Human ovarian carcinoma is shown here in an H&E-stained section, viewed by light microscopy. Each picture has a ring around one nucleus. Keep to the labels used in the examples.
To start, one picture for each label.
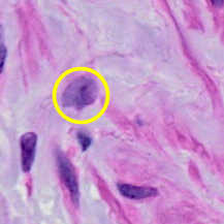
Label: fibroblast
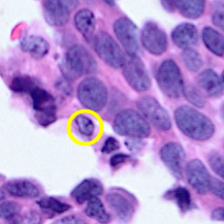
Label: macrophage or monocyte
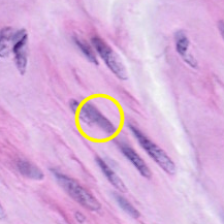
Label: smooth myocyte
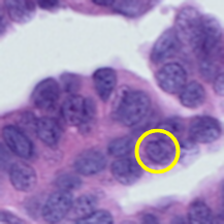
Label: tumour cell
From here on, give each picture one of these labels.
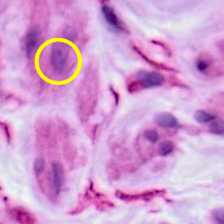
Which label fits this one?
smooth myocyte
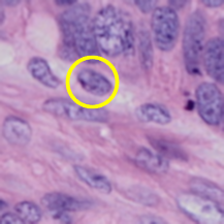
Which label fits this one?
macrophage or monocyte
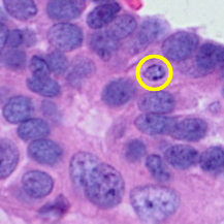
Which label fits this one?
macrophage or monocyte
